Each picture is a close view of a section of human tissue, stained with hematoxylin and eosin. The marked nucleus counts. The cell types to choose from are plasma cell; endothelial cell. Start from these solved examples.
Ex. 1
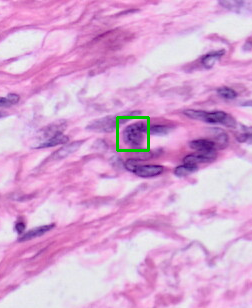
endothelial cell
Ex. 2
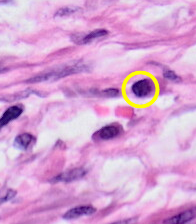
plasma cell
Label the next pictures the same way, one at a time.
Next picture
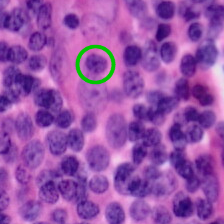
endothelial cell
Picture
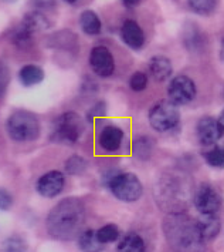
plasma cell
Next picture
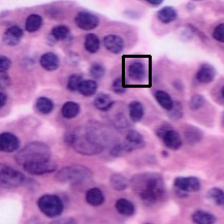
plasma cell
